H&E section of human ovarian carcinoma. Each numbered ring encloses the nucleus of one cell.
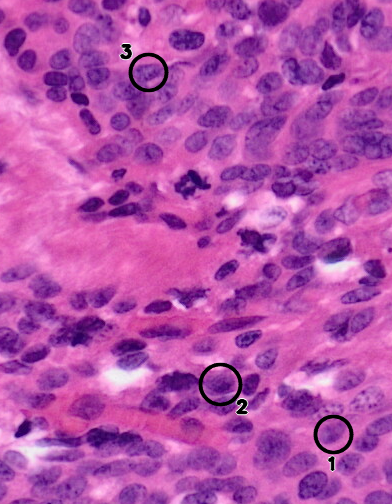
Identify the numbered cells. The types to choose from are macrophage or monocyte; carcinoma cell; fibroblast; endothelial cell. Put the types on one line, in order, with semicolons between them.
carcinoma cell; carcinoma cell; macrophage or monocyte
